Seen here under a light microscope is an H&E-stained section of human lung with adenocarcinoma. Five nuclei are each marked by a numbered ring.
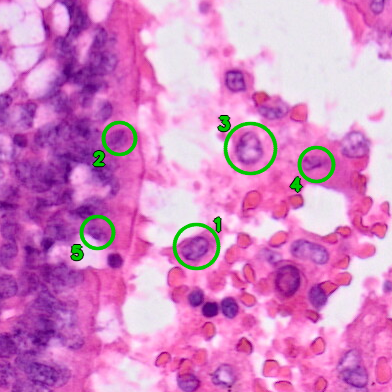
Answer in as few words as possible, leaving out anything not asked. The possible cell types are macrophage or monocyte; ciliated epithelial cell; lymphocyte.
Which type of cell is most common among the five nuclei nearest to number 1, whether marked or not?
lymphocyte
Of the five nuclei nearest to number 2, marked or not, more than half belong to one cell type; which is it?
ciliated epithelial cell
